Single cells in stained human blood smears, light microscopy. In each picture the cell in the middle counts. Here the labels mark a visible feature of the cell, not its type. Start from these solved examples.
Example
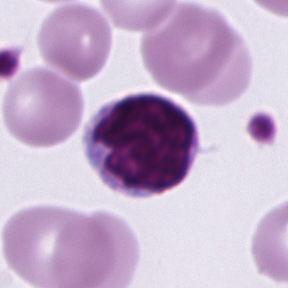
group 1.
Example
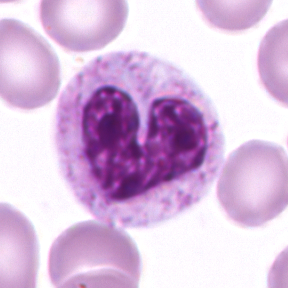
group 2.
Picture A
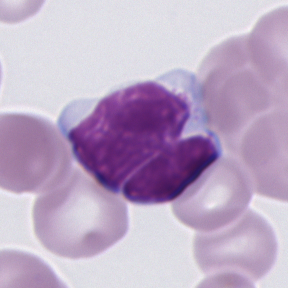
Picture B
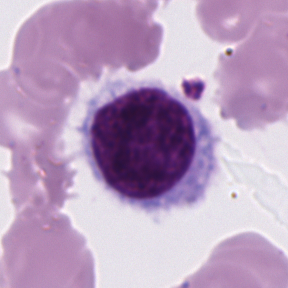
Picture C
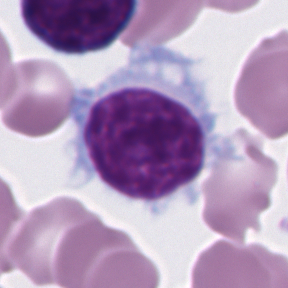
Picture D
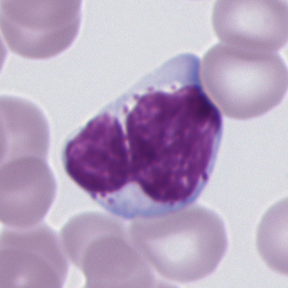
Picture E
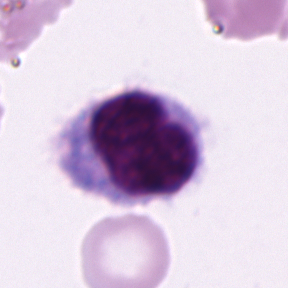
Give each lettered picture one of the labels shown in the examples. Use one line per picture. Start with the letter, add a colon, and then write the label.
A: group 2.
B: group 1.
C: group 1.
D: group 2.
E: group 2.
